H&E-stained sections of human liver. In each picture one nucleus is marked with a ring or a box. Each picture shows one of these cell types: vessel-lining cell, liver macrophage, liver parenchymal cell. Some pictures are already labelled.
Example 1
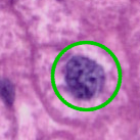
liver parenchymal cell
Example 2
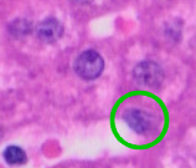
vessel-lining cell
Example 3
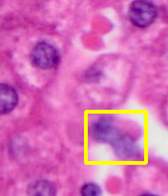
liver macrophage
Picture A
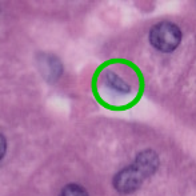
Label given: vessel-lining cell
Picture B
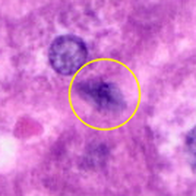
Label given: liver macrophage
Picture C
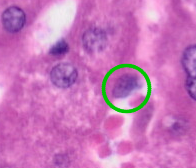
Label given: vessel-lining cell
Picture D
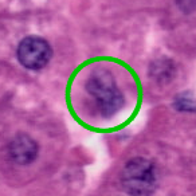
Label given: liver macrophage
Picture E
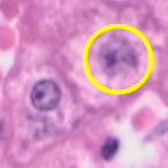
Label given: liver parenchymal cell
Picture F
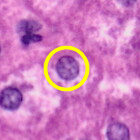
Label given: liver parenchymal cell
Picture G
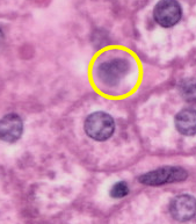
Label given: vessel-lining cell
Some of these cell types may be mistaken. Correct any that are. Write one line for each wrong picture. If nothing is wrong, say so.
B: vessel-lining cell, not liver macrophage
